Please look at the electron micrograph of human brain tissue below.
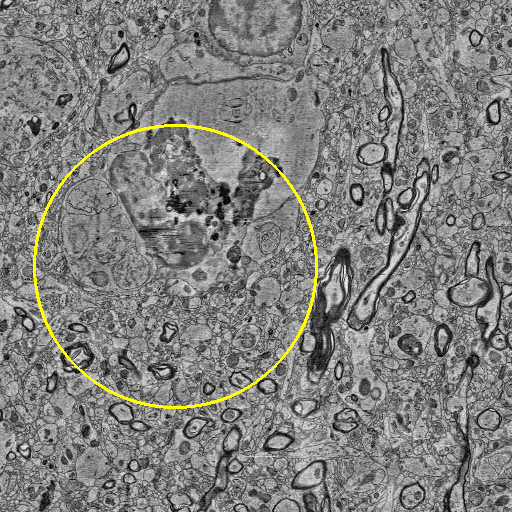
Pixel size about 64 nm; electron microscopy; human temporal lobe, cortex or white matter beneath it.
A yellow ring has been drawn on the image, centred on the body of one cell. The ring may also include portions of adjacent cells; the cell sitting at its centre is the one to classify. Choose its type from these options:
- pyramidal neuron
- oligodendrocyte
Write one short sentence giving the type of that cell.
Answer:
The cell in the middle of the ring is an oligodendrocyte.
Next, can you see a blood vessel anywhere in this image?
Yes.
